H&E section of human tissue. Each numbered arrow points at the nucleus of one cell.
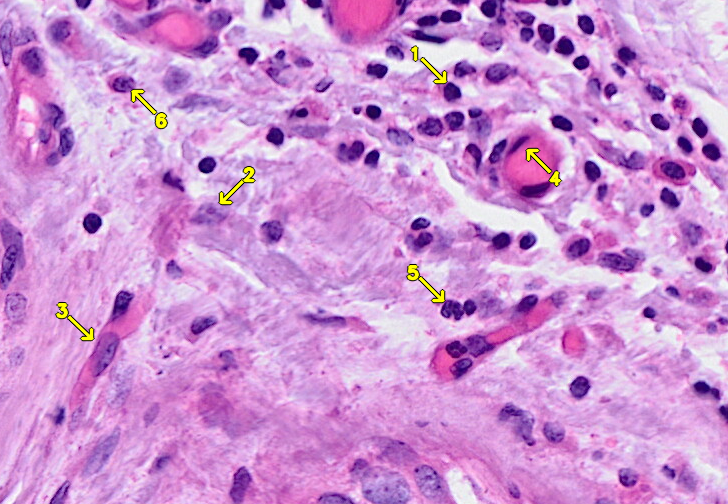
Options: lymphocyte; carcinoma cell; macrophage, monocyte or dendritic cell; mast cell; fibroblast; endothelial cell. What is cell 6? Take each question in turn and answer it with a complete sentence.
Cell 6 should be recorded as a mast cell.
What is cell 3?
Among the marked cells, number 3 is an endothelial cell.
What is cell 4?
The expected answer is that cell 4 is an endothelial cell.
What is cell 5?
Cell 5 of the marked set is a lymphocyte.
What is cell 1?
The cell bearing label 1 corresponds to a lymphocyte.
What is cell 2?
Cell 2 in the field of view is a fibroblast.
